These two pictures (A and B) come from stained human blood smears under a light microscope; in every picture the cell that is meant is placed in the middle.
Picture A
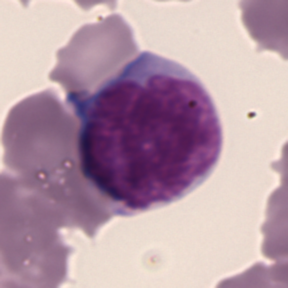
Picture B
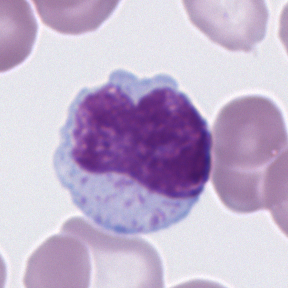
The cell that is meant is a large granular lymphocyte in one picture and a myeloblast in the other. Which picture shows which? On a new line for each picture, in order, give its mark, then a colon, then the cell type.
A: myeloblast
B: large granular lymphocyte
